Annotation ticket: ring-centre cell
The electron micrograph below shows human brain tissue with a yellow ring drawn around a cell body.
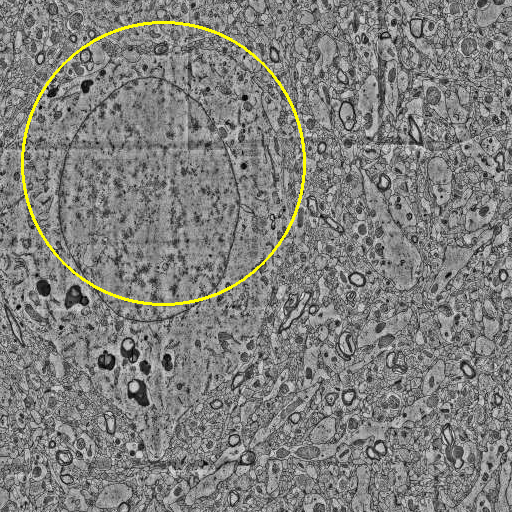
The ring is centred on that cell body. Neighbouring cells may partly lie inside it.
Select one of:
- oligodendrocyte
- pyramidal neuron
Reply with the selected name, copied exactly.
pyramidal neuron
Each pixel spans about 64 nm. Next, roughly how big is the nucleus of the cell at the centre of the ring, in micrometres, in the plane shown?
About 16 by 12 micrometers for the nucleus, in this plane.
